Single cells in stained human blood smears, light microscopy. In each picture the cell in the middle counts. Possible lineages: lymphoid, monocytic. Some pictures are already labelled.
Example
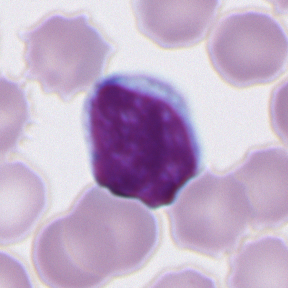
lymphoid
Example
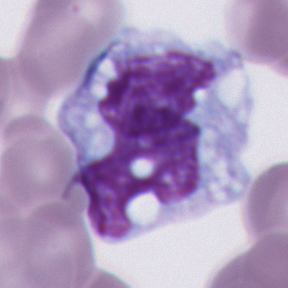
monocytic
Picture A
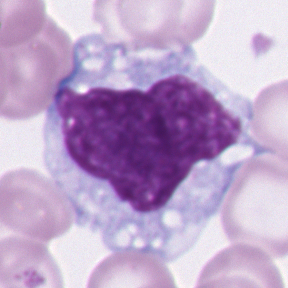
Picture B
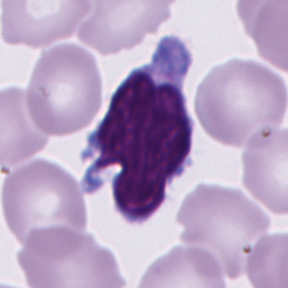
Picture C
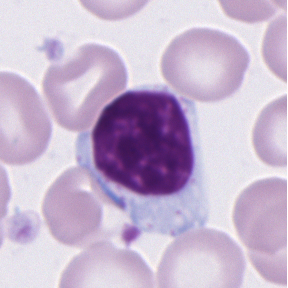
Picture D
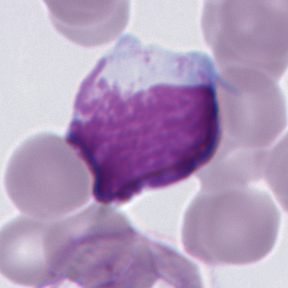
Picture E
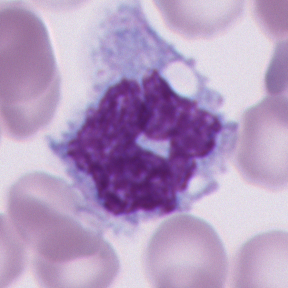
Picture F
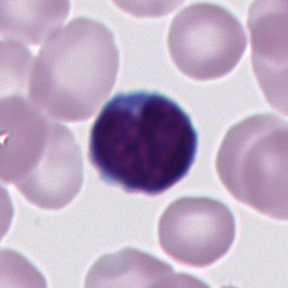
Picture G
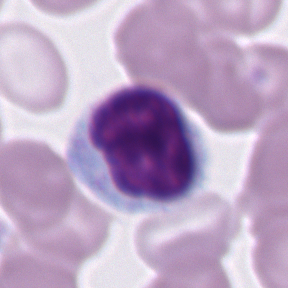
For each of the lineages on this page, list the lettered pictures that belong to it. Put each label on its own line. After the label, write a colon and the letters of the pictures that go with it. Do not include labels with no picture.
lymphoid: B, C, D, F, G
monocytic: A, E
